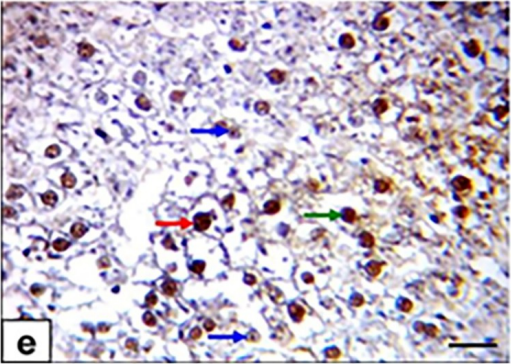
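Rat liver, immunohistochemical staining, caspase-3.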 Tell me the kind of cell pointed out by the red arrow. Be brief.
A: Hepatocytes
